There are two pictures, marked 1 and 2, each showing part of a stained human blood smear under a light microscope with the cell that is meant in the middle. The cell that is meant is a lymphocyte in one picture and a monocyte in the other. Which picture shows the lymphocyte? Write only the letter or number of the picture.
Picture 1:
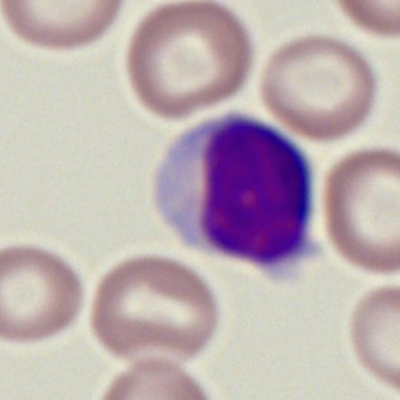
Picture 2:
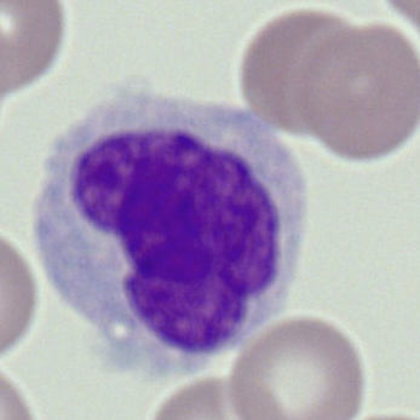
1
